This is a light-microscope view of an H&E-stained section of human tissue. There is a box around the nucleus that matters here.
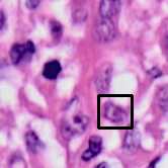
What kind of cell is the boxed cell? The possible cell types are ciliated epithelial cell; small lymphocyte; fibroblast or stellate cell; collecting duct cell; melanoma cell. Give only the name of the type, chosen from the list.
melanoma cell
